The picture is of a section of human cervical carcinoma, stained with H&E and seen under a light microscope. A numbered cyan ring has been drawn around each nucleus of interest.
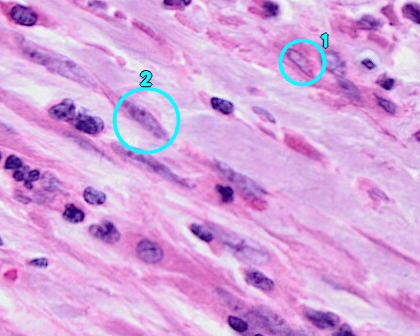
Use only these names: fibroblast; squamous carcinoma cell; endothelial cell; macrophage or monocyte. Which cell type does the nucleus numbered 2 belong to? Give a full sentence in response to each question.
Cell 2 in the field is a fibroblast.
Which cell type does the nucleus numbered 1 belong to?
Numbered cell 1 is an endothelial cell in this tissue section.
